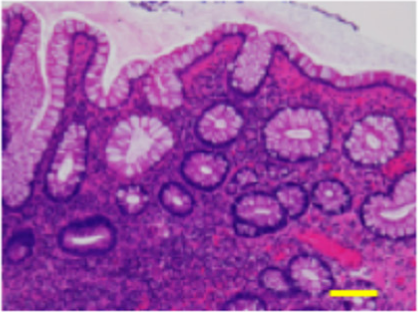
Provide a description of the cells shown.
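This is colonic mucosa with crypts cut in cross-section. The crypts are lined by pale, mucus-filled goblet cells, and they are irregular in size and unevenly spaced. Between them, the lamina propria is packed with small dark-nucleated immune cells.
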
